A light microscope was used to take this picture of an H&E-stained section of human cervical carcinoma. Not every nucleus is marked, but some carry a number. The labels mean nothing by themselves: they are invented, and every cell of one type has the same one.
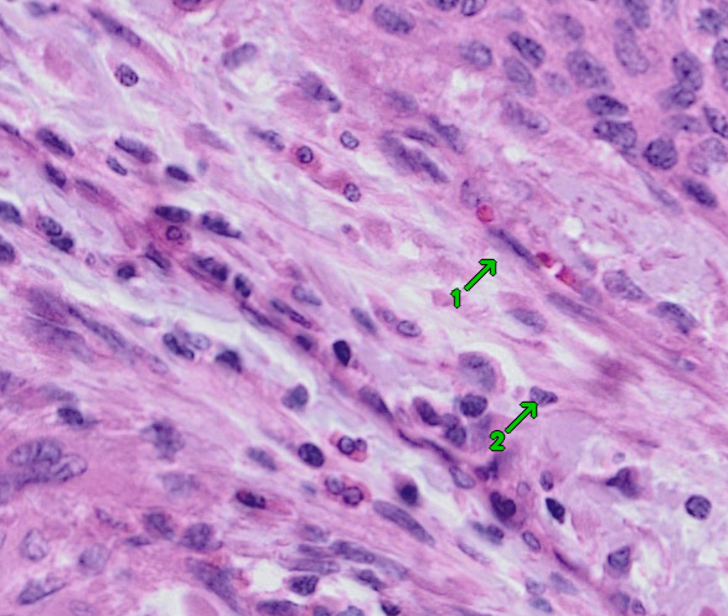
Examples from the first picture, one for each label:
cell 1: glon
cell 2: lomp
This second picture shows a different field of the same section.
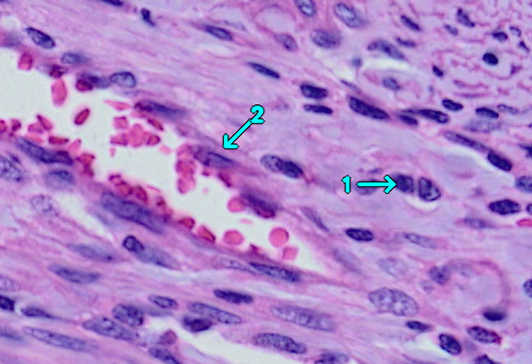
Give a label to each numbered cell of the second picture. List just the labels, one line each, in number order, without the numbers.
lomp
glon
